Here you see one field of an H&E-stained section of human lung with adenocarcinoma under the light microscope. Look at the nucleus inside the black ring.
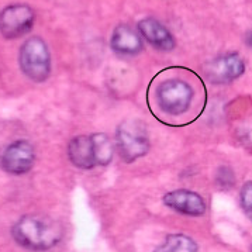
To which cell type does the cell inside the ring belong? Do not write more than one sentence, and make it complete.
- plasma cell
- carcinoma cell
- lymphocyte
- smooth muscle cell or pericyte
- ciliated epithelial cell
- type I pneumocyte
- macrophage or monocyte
Right, so the cell inside the ring is a macrophage or monocyte, to answer that.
